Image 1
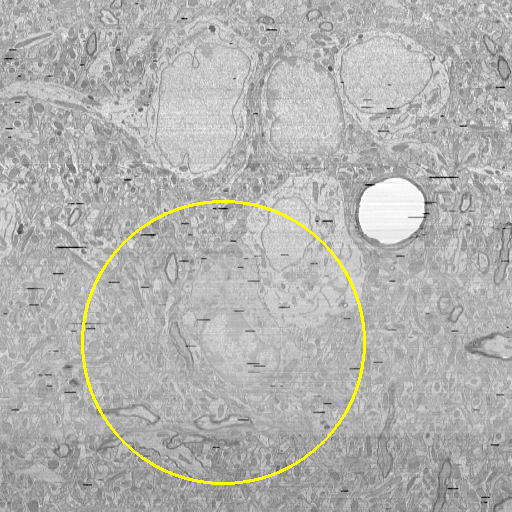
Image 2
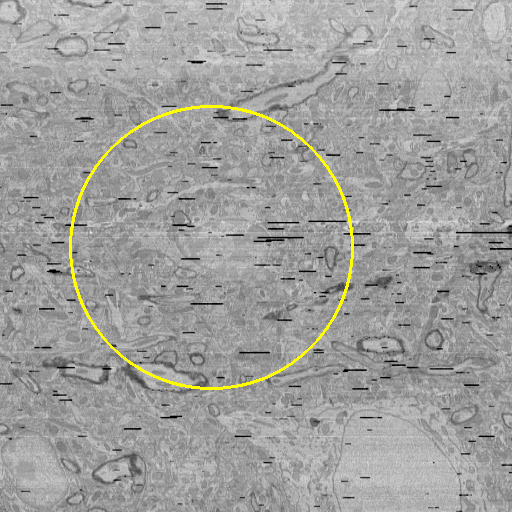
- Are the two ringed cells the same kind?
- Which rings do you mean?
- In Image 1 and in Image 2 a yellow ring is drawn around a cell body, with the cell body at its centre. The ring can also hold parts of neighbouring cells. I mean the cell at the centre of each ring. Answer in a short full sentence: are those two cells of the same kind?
Yes, both cells are of the same kind.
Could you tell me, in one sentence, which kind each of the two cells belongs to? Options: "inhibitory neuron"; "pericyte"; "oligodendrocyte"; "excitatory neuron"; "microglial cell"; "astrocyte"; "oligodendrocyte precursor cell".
Each cell, in the first picture and the second, is an oligodendrocyte.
